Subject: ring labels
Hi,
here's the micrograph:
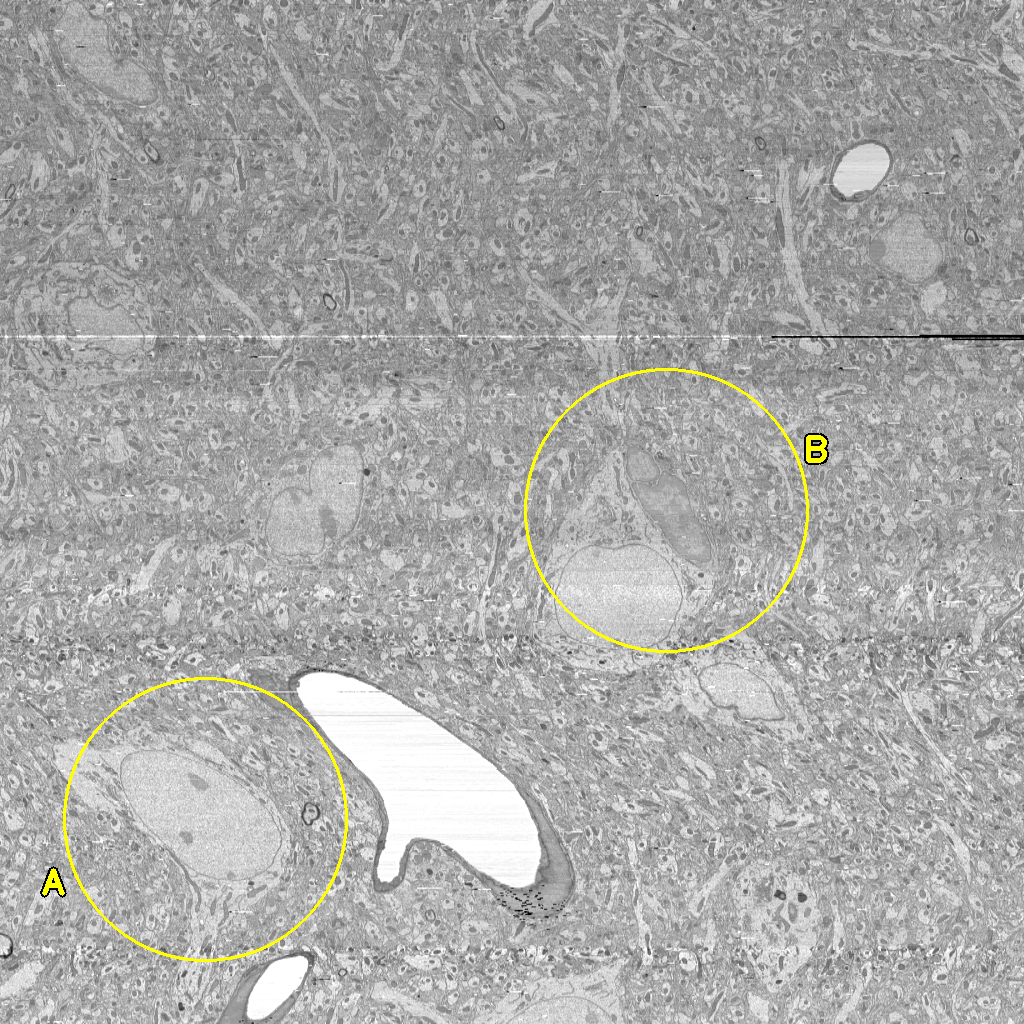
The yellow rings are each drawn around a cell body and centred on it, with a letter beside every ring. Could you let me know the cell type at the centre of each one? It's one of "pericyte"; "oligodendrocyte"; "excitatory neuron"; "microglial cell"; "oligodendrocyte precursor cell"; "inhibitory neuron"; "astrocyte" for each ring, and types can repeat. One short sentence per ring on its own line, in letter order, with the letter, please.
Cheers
The type at the centre of ring A is an excitatory neuron.
The type at the centre of ring B is a microglial cell.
